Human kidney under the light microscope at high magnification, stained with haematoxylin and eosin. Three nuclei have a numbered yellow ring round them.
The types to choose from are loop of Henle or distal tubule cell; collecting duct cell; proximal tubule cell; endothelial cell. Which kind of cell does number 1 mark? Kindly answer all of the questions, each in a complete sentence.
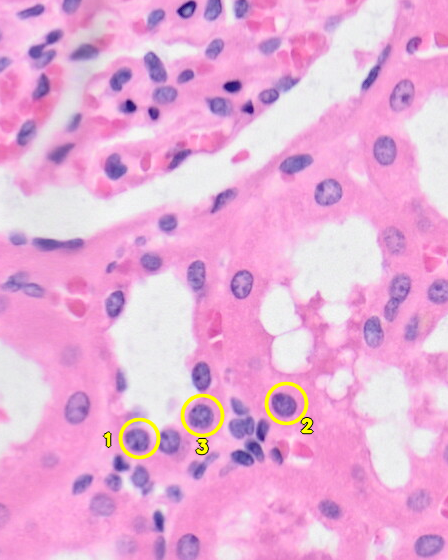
What the number 1 marks in this field is a loop of Henle or distal tubule cell.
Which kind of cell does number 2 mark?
The cell that is numbered 2 is a proximal tubule cell.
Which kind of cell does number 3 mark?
Cell 3 is classified as a loop of Henle or distal tubule cell.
